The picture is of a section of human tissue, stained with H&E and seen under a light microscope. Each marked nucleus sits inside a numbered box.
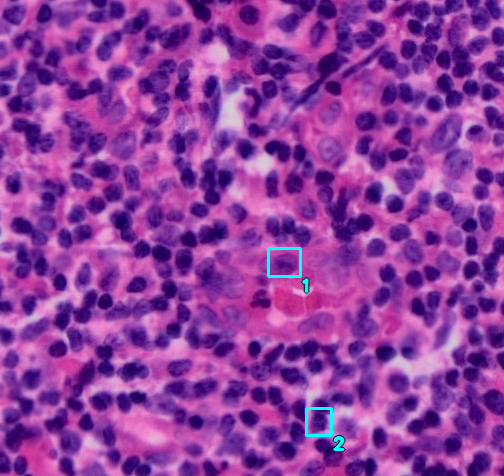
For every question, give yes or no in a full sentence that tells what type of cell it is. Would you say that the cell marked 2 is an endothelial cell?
No, number 2 is assigned to a small lymphocyte, not to an endothelial cell.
